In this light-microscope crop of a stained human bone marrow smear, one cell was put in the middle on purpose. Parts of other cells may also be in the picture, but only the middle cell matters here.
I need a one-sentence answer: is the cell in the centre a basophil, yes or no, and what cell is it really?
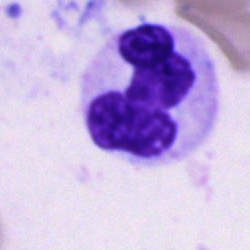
No, the one in the center is not a basophil; it is a segmented neutrophil.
